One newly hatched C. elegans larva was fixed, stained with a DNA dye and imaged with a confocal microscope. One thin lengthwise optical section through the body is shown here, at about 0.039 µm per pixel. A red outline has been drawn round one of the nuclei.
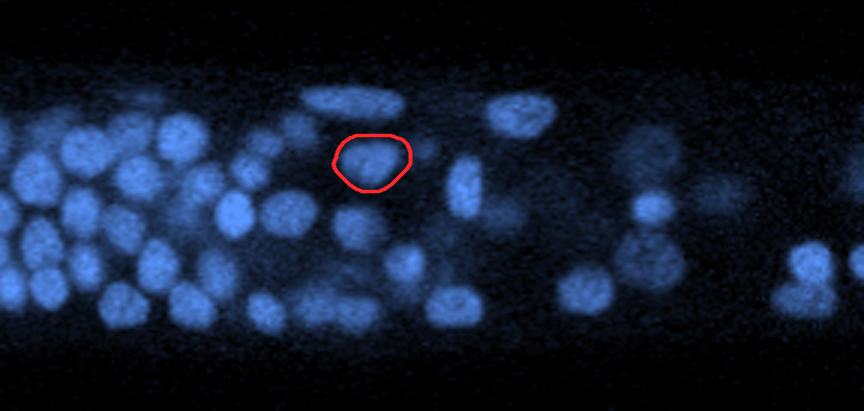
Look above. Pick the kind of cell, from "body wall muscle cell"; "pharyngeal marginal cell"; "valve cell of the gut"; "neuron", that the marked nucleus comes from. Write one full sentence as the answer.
The marked nucleus belongs to a pharyngeal marginal cell.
